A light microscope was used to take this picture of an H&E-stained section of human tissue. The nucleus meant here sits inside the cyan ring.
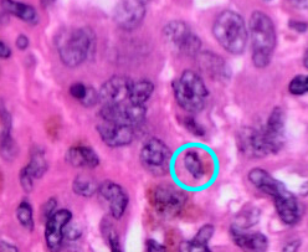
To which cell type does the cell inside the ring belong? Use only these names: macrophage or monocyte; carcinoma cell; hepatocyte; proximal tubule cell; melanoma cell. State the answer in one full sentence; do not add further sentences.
In the context of this tissue, the cell inside the ring is a macrophage or monocyte.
